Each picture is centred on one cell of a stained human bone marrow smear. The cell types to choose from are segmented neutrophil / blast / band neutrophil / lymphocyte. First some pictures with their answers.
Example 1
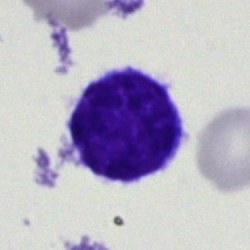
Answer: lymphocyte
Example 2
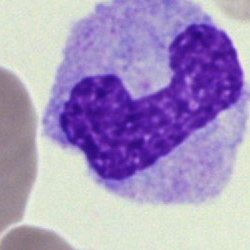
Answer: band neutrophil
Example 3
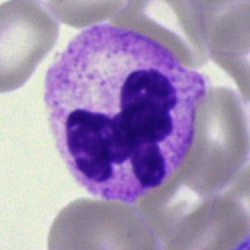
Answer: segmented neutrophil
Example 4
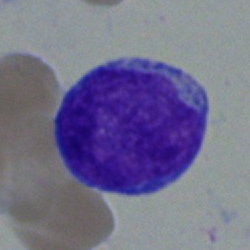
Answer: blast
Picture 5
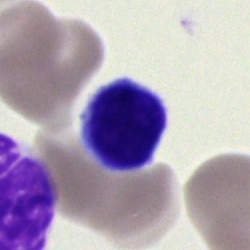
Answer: lymphocyte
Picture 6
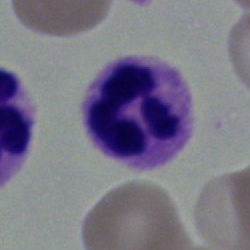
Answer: segmented neutrophil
